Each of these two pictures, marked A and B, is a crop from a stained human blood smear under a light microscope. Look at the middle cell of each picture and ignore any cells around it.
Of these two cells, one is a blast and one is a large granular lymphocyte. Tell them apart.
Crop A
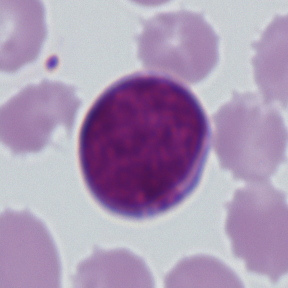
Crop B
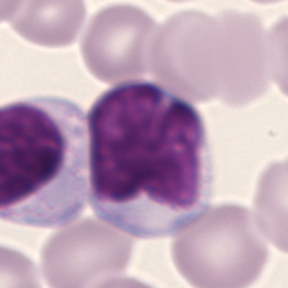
A: blast
B: large granular lymphocyte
